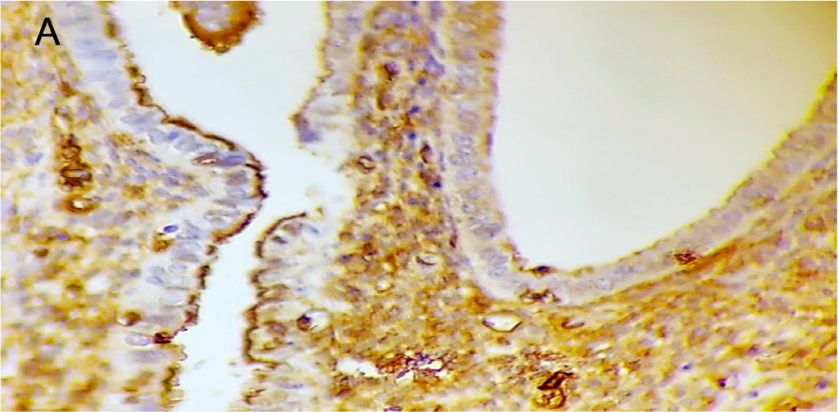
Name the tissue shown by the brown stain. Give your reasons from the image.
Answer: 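Brown stain fills the cellular tissue between and around the glands. The gland-lining epithelium is mostly pale, with brown stain chiefly along its luminal edge. That points to this answer: stroma.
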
